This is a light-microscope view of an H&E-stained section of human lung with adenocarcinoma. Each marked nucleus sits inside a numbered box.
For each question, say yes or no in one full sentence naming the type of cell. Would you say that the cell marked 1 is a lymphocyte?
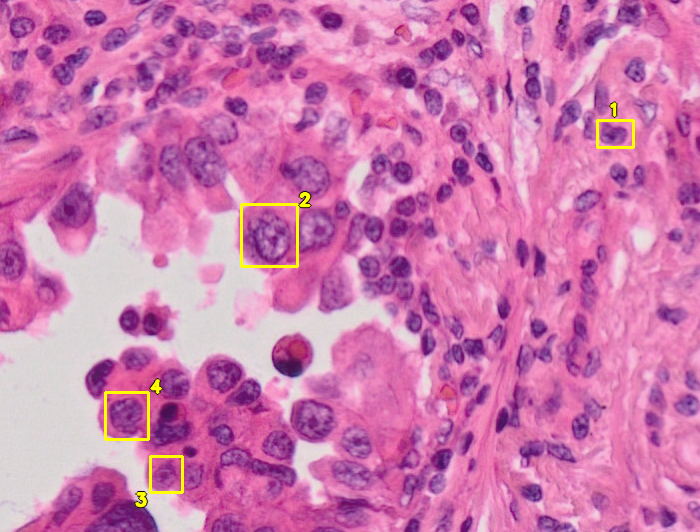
Yes, the number 1 belongs to a lymphocyte.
